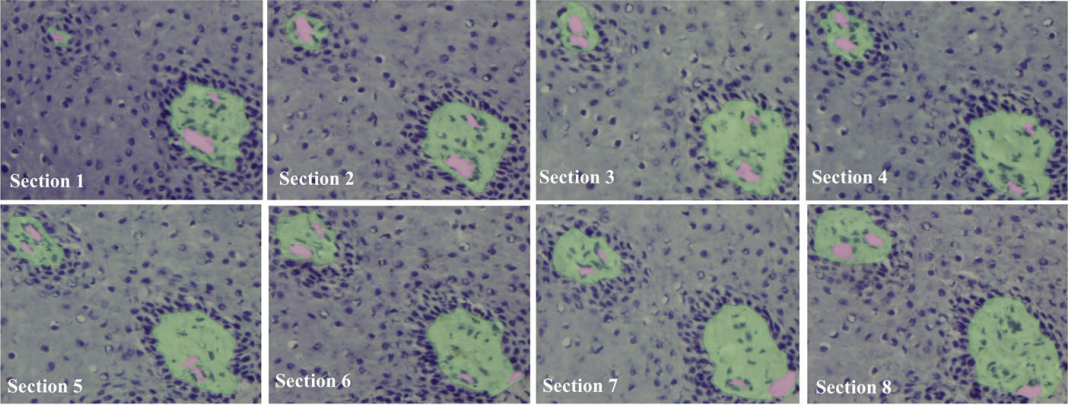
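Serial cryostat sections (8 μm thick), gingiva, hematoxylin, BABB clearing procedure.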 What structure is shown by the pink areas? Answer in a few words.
Capillary loop.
